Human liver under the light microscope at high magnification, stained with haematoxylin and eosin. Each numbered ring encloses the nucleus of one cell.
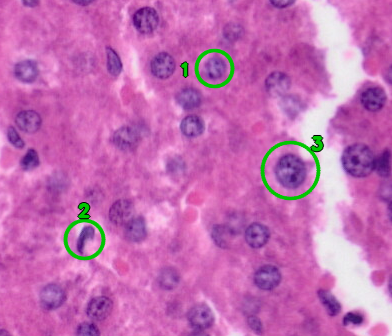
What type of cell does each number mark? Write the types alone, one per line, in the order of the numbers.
hepatocyte
endothelial cell
hepatocyte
